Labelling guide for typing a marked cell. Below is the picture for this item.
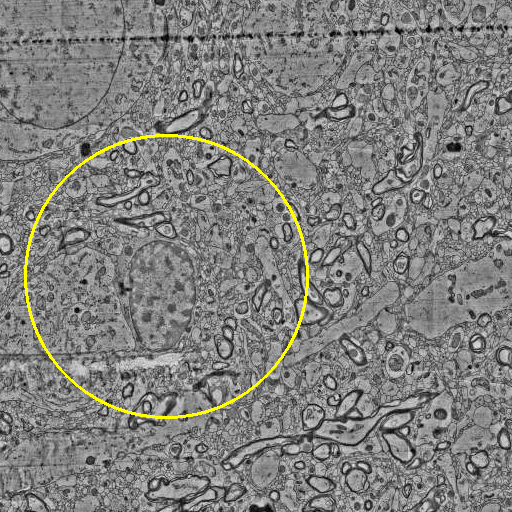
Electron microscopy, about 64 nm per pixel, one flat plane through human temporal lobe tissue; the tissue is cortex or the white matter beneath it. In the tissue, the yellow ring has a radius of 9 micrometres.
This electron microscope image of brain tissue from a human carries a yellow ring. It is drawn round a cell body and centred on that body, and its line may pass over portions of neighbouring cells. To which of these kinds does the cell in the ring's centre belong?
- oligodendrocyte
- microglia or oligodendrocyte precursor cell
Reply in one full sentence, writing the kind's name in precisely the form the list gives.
Here we have an oligodendrocyte at the centre of the yellow ring in the picture.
